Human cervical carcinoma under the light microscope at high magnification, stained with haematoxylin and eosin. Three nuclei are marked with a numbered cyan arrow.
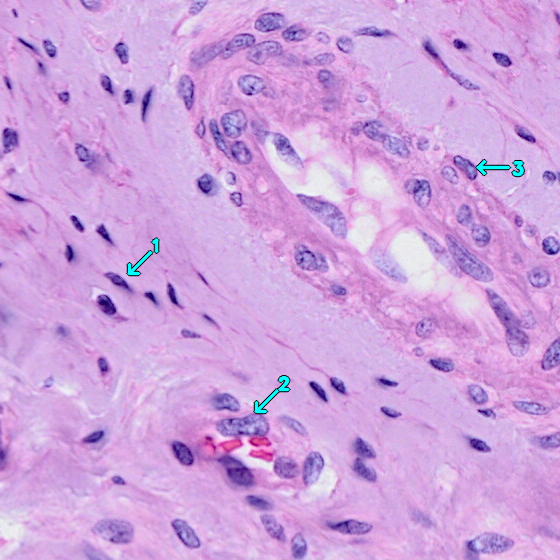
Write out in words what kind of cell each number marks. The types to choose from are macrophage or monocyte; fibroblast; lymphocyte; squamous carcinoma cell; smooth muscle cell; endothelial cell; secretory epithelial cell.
Cell 1 is a fibroblast, cell 2 is an endothelial cell and cell 3 is a smooth muscle cell.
